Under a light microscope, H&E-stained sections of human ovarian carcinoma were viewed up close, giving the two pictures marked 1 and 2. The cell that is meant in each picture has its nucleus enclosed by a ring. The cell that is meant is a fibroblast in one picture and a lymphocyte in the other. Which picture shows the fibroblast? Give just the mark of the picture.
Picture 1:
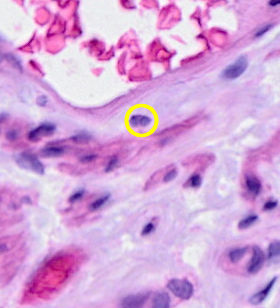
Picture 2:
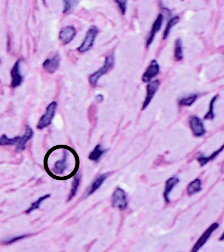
2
